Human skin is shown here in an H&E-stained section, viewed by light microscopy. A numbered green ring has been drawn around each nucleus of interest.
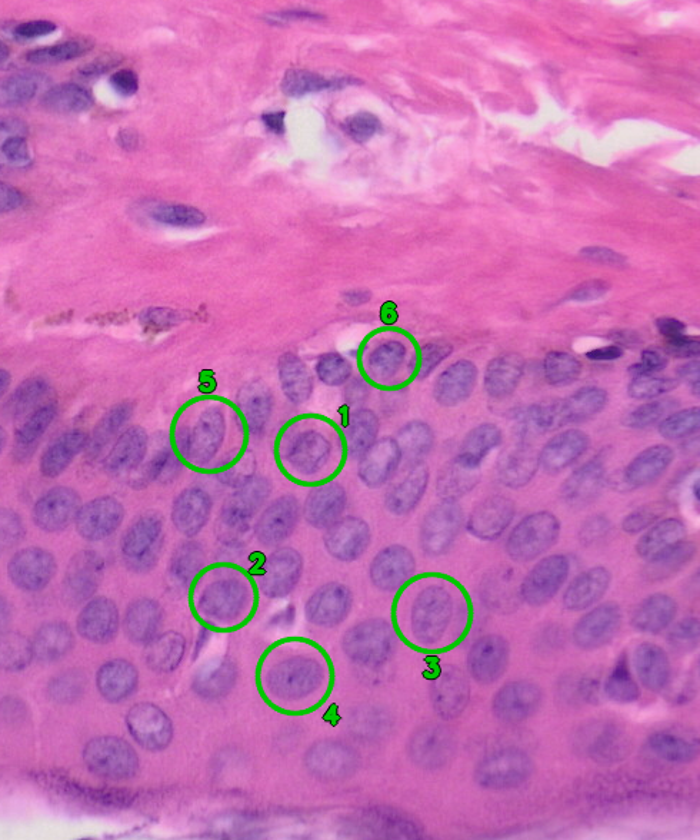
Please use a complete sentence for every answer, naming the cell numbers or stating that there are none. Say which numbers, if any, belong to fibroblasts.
Of the numbered cells, none can be classed as fibroblasts.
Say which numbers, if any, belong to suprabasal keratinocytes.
The cells carrying the numbers 1, 2, 3 and 4 are suprabasal keratinocytes.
